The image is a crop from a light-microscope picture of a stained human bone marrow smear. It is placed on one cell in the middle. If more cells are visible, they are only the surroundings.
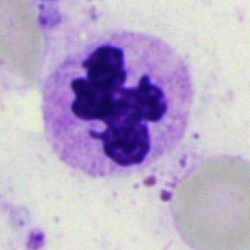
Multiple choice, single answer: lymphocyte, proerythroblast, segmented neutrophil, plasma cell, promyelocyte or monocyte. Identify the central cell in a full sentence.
Seen at the centre of the crop is a segmented neutrophil.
